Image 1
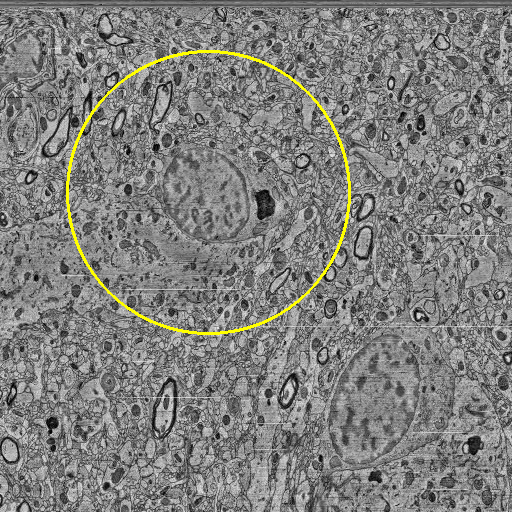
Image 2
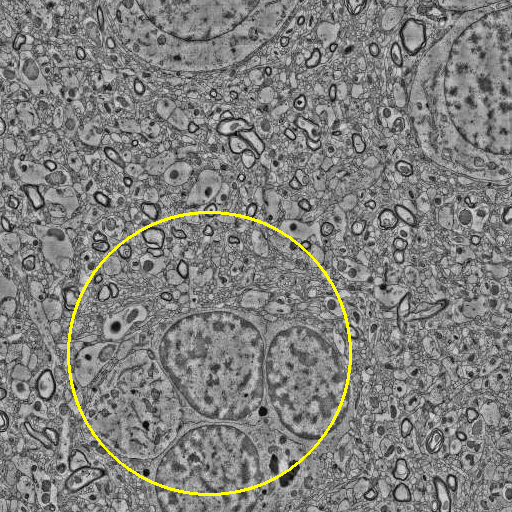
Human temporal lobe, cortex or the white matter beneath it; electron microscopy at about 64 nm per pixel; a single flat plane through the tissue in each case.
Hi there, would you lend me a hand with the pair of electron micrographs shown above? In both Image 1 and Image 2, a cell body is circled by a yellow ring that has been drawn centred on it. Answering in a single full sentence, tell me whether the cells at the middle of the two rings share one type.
Yes, the ringed cells in Image 1 and Image 2 share one type.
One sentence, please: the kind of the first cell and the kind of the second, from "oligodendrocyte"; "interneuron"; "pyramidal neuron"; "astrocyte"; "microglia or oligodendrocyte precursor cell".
The second cell is an oligodendrocyte, just as the first is.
